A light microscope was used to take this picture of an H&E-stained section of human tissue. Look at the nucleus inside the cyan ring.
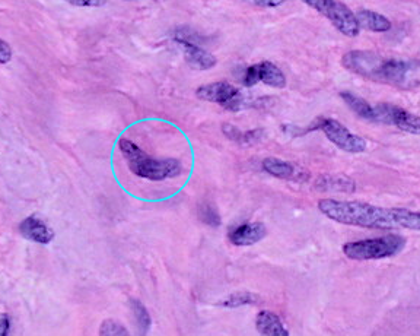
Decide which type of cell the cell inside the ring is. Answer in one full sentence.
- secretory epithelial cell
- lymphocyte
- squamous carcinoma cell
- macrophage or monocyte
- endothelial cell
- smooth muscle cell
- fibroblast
The identity of the cell inside the ring: it is a fibroblast.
